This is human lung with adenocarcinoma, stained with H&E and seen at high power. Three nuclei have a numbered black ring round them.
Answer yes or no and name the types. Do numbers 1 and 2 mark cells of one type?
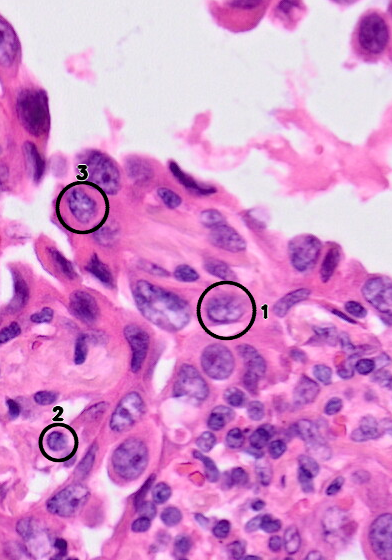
No, cell 1 is a carcinoma cell and cell 2 is a lymphocyte.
